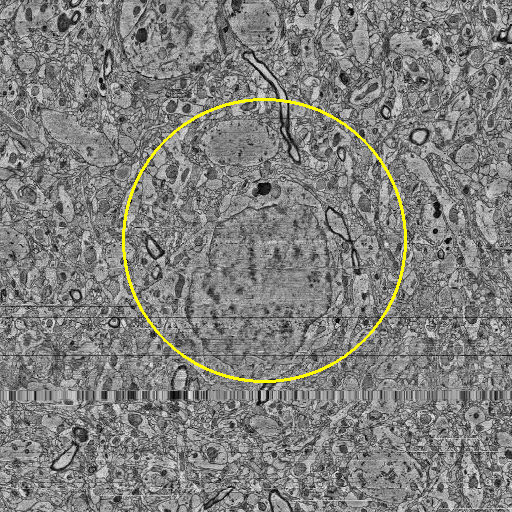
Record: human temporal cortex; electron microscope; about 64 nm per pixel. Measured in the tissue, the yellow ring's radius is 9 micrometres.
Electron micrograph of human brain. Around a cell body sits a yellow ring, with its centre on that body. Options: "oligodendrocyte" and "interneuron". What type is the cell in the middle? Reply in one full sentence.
The cell sitting at the centre of the yellow ring is an interneuron.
